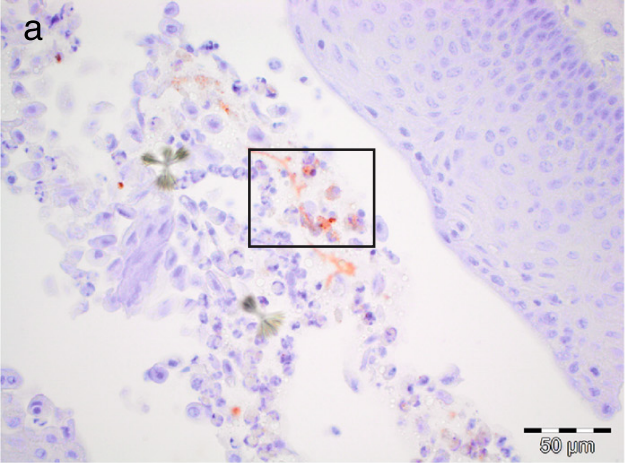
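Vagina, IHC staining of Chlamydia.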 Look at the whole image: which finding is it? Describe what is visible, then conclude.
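A loose mass of detached cells lies in the open space to the left of the epithelial lining. The mass contains larger cells with abundant pale cytoplasm and smaller cells with dense or lobed nuclei. An intact stratified epithelium borders the space on the right.
Conclusion: luminal accumulation of sloughed epithelial cells, neutrophils and macrophages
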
